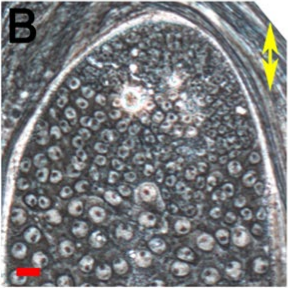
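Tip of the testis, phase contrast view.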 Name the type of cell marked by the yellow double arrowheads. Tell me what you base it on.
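Spermatogonia. The marked stretch is short and lies at the very tip of the organ. Small cells sit at the tip, while larger round cells with distinct nuclei fill the rest.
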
